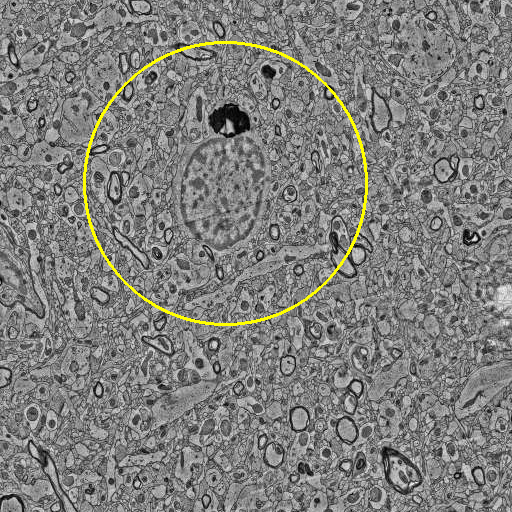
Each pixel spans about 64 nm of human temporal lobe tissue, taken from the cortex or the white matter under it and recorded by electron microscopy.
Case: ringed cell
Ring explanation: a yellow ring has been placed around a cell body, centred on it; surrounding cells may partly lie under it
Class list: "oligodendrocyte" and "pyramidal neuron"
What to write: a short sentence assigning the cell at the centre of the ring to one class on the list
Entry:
The cell at the ring's centre is an oligodendrocyte.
